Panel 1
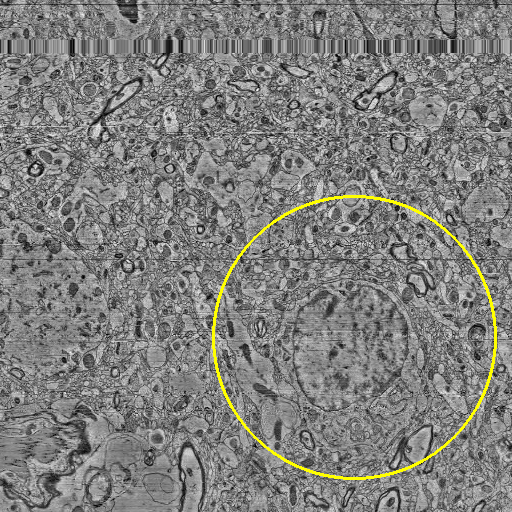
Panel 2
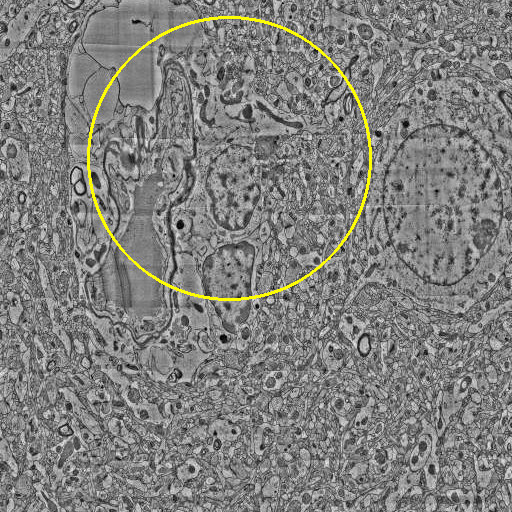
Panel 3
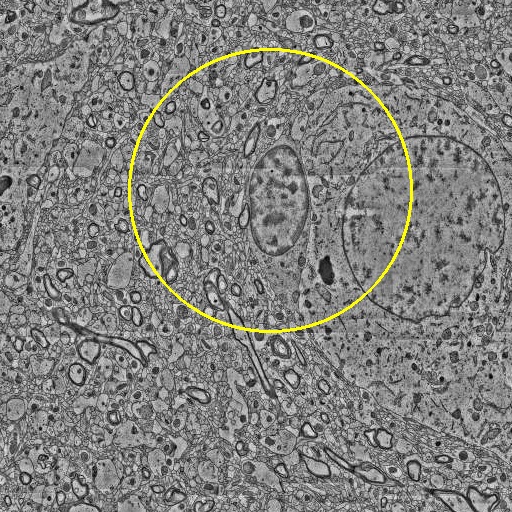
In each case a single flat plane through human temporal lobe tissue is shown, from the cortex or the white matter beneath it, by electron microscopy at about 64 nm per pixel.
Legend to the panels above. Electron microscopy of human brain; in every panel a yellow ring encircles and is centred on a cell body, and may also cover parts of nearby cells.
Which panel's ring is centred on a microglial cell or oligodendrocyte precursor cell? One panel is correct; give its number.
2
